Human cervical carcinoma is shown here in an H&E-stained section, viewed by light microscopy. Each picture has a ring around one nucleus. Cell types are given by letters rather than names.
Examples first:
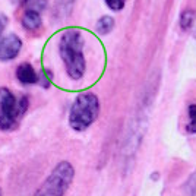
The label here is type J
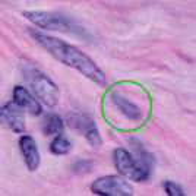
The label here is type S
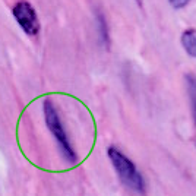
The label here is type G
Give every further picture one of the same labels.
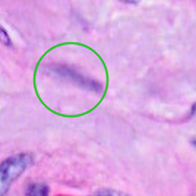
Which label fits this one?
type G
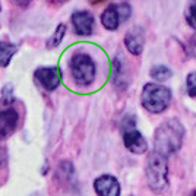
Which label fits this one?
type J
